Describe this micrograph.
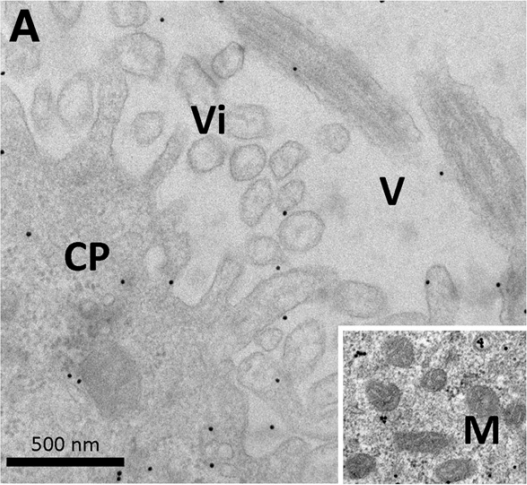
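This is the apical edge of a choroid plexus epithelial cell facing the ventricle. The finely granular cytoplasm lies at the left. Its surface sends many slender finger-like projections into the pale ventricular space, and many of them are cut across as small round or oval profiles with a thin membrane outline. A mitochondrion with cristae sits in the cytoplasm near the surface. Some elongated, striated material lies in the ventricle at the upper right. Only a few scattered black dots of label are seen over cytoplasm and lumen. The inset shows several oval mitochondria with cristae in granular cytoplasm.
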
